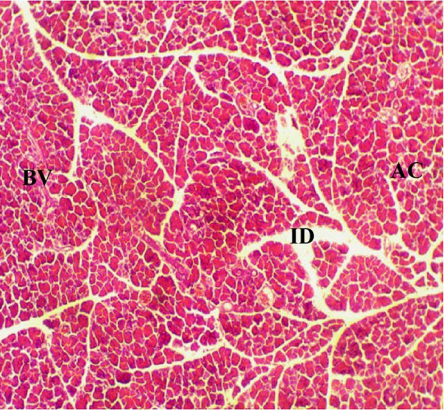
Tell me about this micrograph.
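This is exocrine pancreas at low power, made up of lobules packed with acini stained a deep pink to red. The acini are small, closely set clusters whose cells have strongly eosinophilic cytoplasm. The lobules are outlined by thin, pale septa that branch through the field.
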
